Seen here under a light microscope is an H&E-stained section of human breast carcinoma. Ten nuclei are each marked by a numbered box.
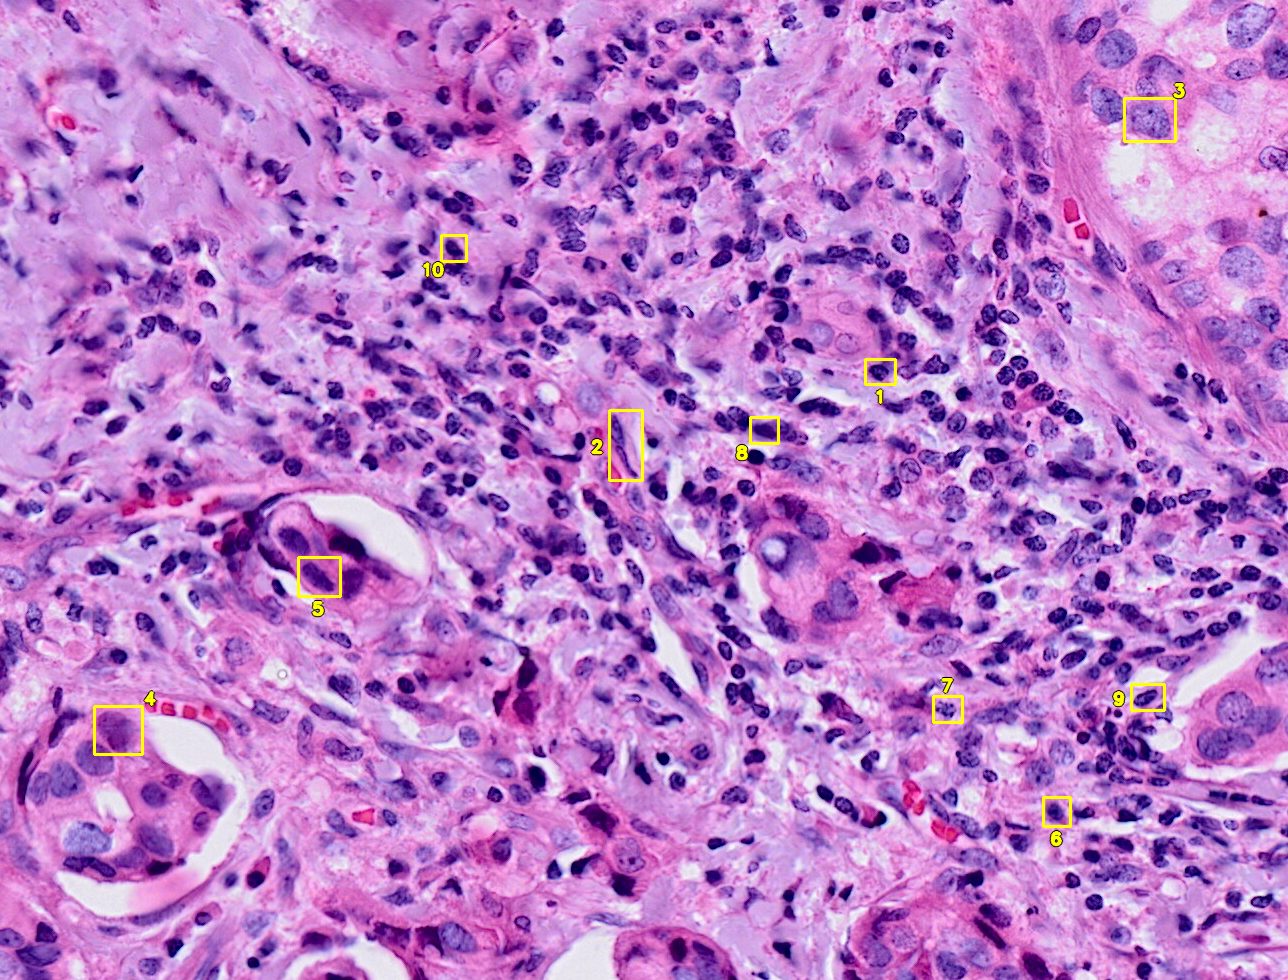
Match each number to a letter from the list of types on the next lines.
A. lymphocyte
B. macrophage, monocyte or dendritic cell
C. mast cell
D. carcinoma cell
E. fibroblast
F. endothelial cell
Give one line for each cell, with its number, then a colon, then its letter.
1: A
2: F
3: D
4: D
5: D
6: A
7: A
8: A
9: A
10: A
